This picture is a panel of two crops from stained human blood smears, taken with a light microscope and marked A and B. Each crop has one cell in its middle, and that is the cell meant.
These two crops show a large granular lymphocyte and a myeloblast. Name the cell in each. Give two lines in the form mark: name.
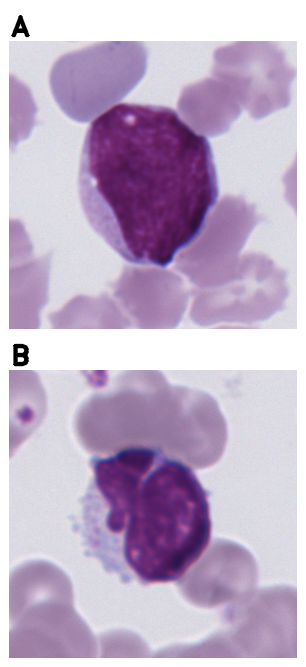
A: myeloblast
B: large granular lymphocyte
